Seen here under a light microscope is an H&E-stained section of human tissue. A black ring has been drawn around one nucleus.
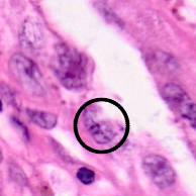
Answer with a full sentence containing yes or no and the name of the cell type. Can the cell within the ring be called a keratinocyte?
No, the cell within the ring is a melanoma cell instead of a keratinocyte.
